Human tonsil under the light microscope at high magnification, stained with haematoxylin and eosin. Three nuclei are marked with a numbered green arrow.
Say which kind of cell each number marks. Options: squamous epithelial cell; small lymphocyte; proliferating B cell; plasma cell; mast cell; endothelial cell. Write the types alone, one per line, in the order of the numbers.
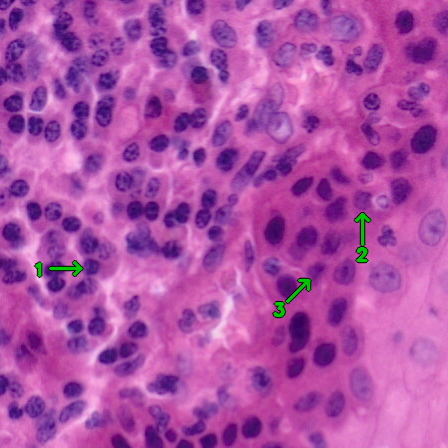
plasma cell
squamous epithelial cell
squamous epithelial cell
